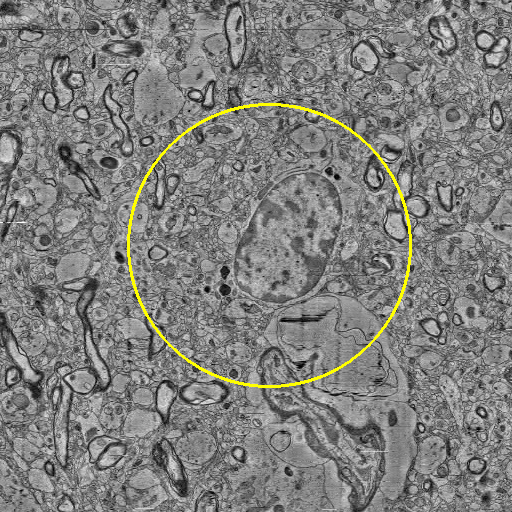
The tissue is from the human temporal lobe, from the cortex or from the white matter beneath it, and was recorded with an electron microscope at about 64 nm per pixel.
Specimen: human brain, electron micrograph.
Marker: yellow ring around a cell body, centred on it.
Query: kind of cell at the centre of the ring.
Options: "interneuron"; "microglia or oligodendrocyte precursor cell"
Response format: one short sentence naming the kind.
This cell body belongs to a microglial cell or oligodendrocyte precursor cell.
